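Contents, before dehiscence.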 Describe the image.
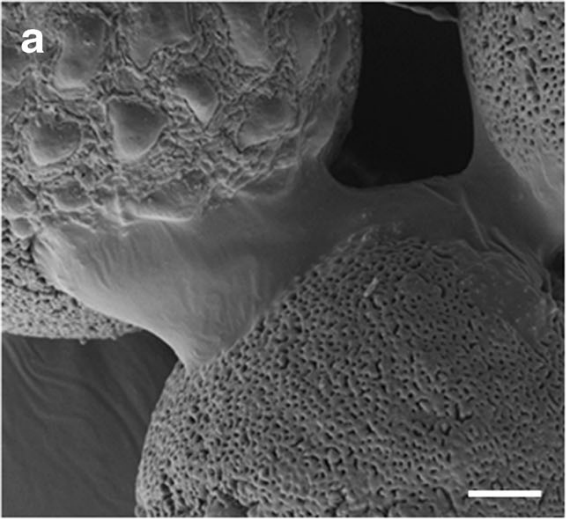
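These are pollen grains inside the anther, seen close up. Their walls are densely pitted and sculptured, and between the grains lies a smooth, featureless mass that joins them together like a bridge.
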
